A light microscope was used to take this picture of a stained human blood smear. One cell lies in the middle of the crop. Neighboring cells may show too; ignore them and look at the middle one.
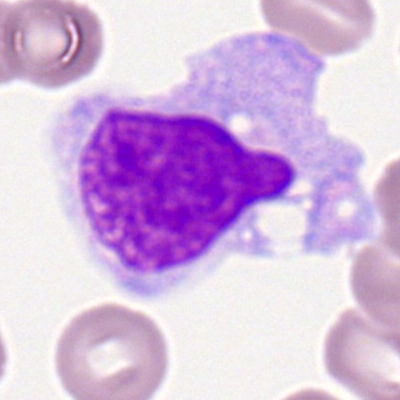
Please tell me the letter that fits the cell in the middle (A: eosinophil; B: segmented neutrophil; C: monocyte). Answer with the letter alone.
C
